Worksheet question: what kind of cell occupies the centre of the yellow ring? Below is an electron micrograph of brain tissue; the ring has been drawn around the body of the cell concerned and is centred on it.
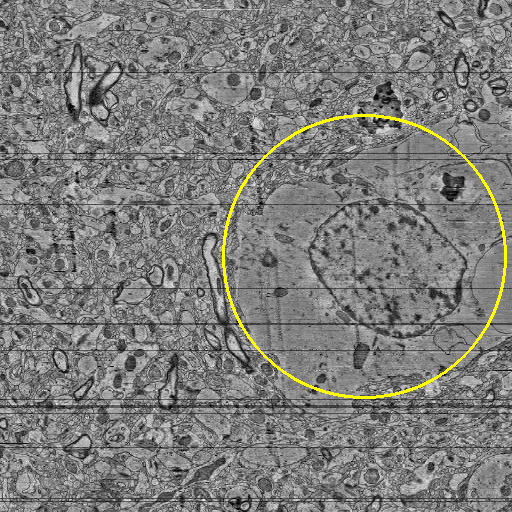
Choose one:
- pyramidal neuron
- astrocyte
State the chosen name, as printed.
astrocyte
